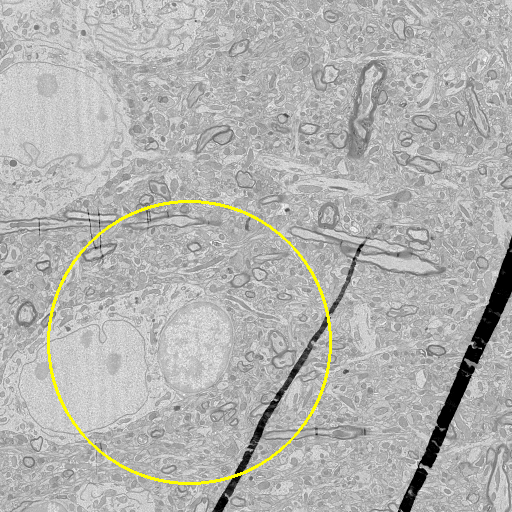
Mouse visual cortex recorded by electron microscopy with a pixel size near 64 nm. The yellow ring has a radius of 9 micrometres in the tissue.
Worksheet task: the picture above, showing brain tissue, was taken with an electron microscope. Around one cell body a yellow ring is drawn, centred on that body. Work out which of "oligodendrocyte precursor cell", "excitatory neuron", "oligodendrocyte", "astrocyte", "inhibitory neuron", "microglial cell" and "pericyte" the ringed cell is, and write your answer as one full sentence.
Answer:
It is an oligodendrocyte whose cell body lies at the centre of the yellow ring.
